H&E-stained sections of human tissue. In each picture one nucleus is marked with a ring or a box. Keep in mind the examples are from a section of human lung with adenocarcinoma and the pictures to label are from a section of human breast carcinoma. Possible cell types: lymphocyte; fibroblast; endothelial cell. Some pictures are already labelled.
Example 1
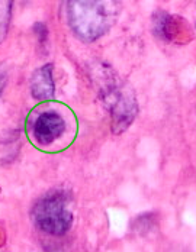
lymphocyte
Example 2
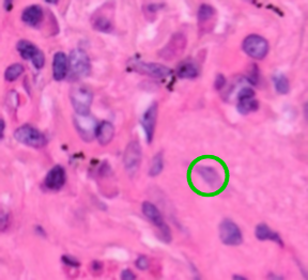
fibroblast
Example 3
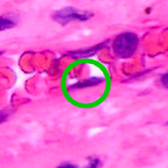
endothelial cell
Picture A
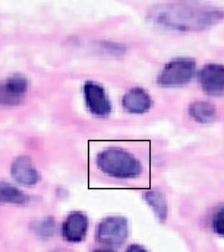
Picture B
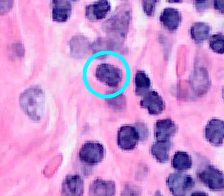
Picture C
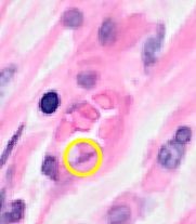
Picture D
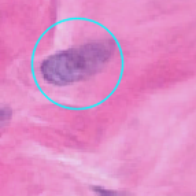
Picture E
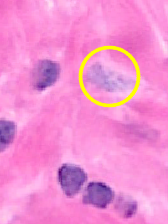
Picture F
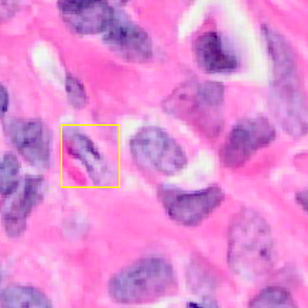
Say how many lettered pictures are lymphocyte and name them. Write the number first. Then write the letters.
2, namely A, B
